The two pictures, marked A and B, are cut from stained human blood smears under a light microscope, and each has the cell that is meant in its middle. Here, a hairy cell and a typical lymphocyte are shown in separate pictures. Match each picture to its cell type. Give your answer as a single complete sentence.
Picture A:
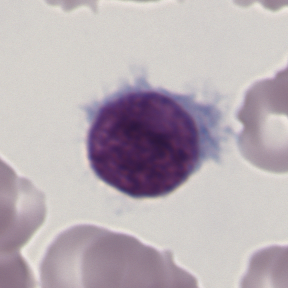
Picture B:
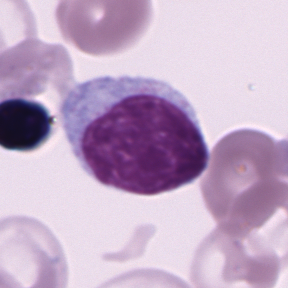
In picture A the cell is a hairy cell; in picture B, a typical lymphocyte.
